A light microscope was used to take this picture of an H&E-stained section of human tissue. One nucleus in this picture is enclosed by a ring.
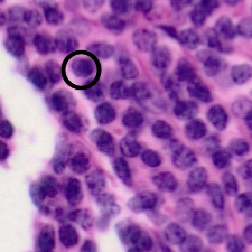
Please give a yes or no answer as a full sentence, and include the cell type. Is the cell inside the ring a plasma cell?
No, the cell inside the ring is a small lymphocyte rather than a plasma cell.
